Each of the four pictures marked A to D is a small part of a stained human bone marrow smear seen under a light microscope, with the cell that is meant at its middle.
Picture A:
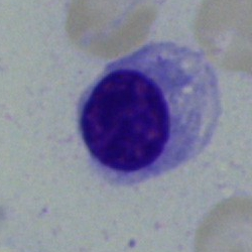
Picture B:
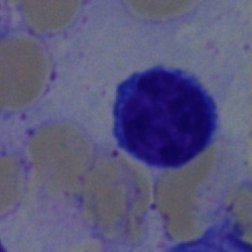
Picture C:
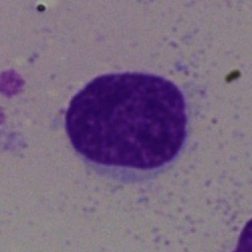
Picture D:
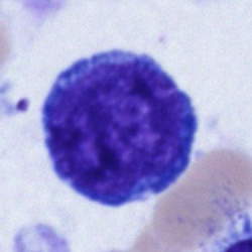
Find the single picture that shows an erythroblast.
A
